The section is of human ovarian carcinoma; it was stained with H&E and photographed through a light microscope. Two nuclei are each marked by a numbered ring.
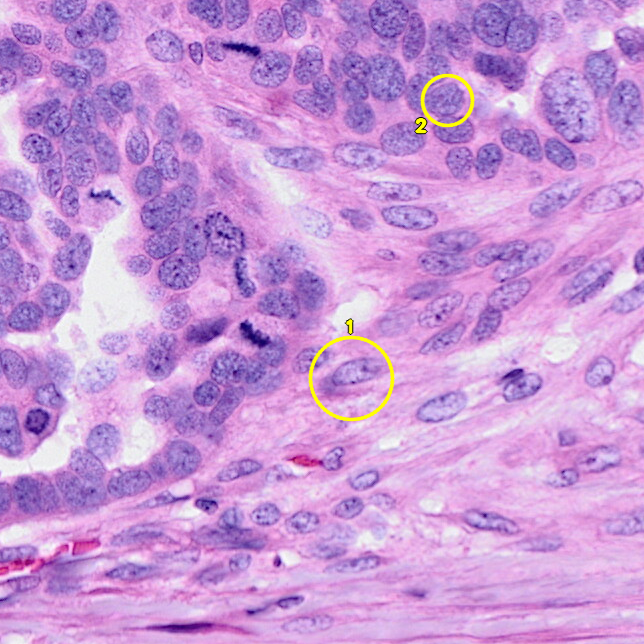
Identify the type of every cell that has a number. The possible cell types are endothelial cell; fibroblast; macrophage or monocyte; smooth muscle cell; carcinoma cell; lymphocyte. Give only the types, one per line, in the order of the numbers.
fibroblast
carcinoma cell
